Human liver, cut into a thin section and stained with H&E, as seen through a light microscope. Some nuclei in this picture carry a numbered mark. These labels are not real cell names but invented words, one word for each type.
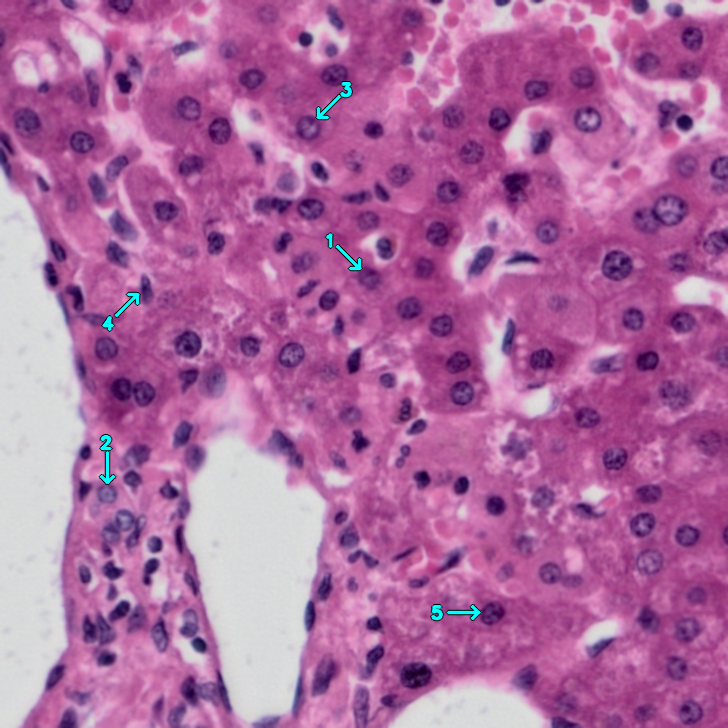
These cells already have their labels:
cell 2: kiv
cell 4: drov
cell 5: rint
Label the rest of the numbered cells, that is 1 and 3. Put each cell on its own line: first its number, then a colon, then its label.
1: rint
3: rint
